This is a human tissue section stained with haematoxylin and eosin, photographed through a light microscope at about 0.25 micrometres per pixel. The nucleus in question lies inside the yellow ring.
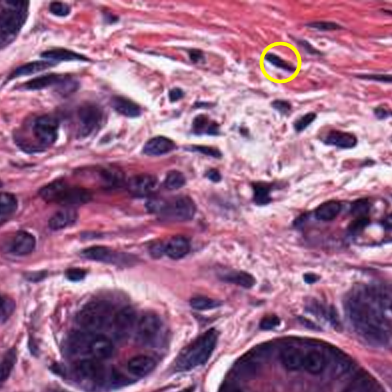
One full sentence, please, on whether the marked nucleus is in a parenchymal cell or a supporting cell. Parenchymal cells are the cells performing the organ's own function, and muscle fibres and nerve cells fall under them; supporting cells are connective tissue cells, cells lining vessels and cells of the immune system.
The marked nucleus is the nucleus belonging to a supporting cell.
